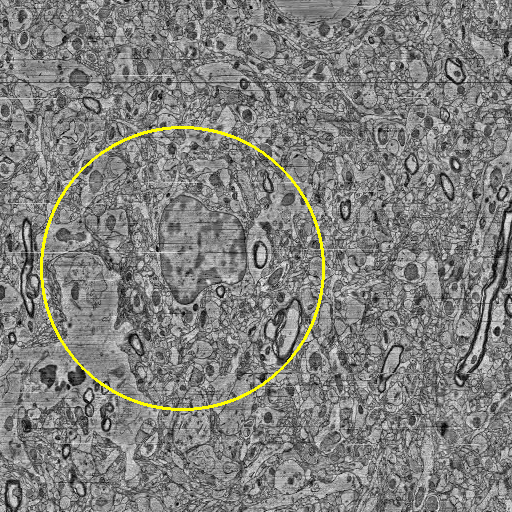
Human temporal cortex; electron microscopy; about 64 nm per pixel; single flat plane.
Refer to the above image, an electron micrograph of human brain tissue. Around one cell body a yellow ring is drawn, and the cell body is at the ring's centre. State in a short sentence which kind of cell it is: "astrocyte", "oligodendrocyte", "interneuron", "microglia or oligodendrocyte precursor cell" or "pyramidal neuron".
The centre of the ring falls on a microglial cell or oligodendrocyte precursor cell.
